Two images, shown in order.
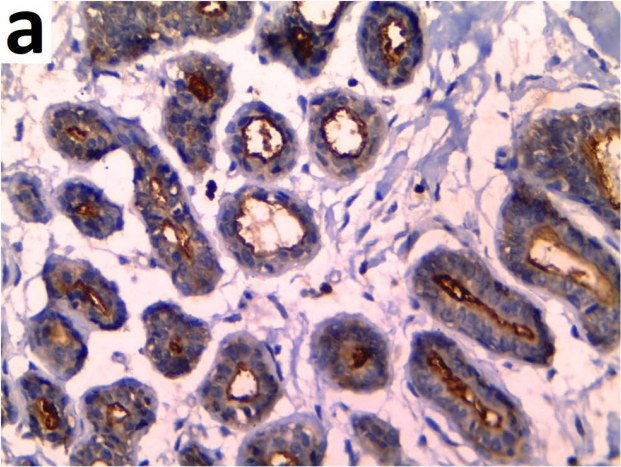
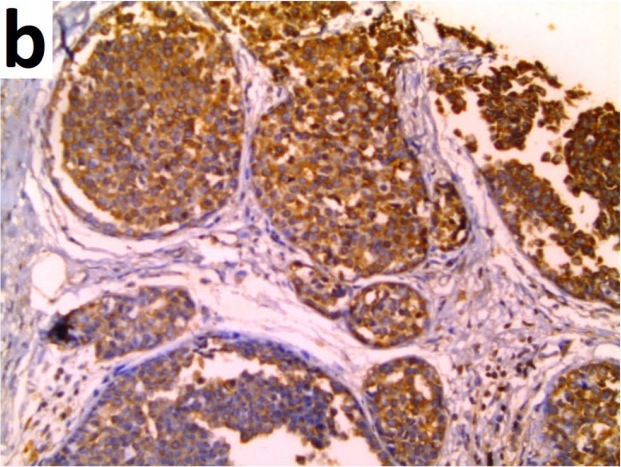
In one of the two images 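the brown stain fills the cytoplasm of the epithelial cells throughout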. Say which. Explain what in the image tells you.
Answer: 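Second image: the crowded cells of the nests show brown stain throughout their cytoplasm. On this evidence: the second image.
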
